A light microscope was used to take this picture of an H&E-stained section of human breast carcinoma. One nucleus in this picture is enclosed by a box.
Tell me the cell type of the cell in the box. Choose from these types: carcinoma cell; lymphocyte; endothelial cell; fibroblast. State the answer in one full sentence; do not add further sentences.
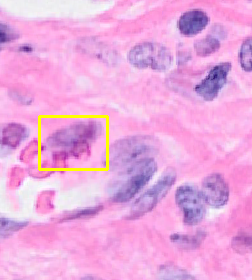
The cell type of the cell in the box is that of an endothelial cell.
